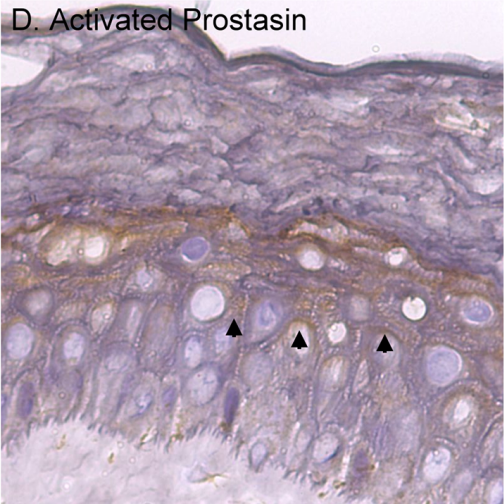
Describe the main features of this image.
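This is the epidermis of skin in section, with the pale dermis just visible at the bottom and a thick cornified layer at the top. Keratinocytes in the lower and middle layers have rounded to oval blue nuclei, many with clear halos around them, and become flatter toward the surface. A brown stain is concentrated in the uppermost nucleated layers directly under the cornified layer, where it lines cell margins, while the basal layers are mostly blue only. The cornified layer above is made of stacked, anucleate, pale grey-blue lamellae. Arrowheads mark cells in the middle layers whose borders carry a thin brown rim.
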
